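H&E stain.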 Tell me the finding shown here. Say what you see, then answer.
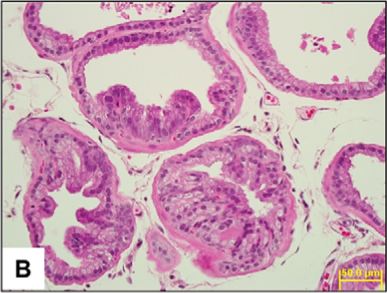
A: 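The epithelium forms papillary folds projecting into the lumen. Nuclei are crowded and partly stratified in places. Lumina are narrowed by infolded epithelium. The answer: mild hyperplasia.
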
